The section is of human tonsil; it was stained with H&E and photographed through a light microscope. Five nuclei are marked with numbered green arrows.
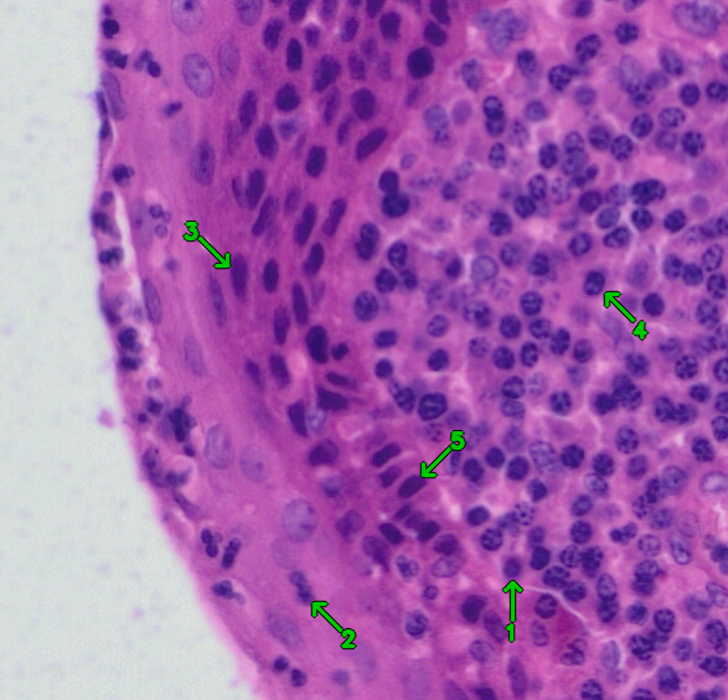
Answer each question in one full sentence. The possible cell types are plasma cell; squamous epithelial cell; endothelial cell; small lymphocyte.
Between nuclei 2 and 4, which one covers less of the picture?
Number 2 is smaller, since number 4 takes up about 1.5 times as much area.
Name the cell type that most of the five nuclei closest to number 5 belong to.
Most of the five nuclei nearest to number 5 are those of squamous epithelial cells.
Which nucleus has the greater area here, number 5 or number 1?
Of the two, number 5 is bigger and takes up about 1.5 times the area of number 1.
